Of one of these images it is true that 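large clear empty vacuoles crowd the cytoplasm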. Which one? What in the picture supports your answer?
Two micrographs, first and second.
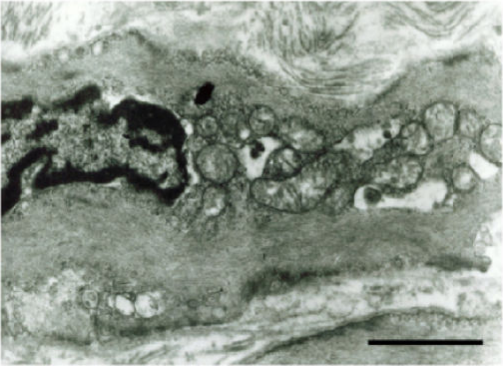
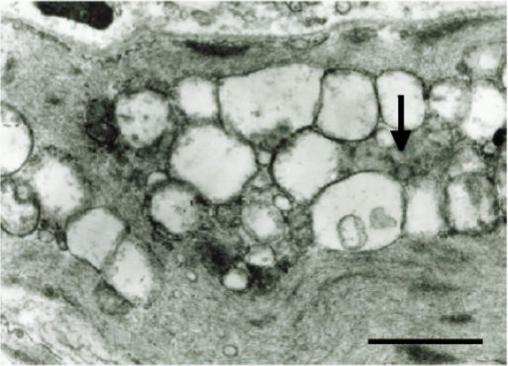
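The second image. Second image: many large, pale, mostly empty membrane-bound spaces packed together. First image: smaller round organelles with visible internal membranes, few empty spaces.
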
